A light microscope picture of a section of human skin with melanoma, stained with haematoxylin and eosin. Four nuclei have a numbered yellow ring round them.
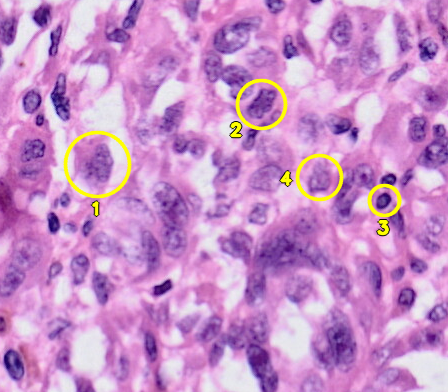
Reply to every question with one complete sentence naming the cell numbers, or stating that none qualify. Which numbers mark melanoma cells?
Cells 1, 2 and 4 are classified as melanoma cells.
